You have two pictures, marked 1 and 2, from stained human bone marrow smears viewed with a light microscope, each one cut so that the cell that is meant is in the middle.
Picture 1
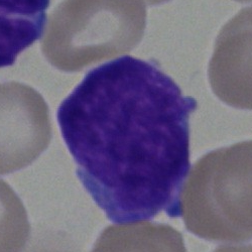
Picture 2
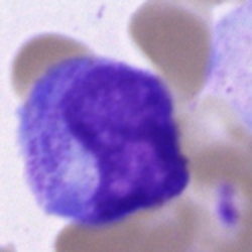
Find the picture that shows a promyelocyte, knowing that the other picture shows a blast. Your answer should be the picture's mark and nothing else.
2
